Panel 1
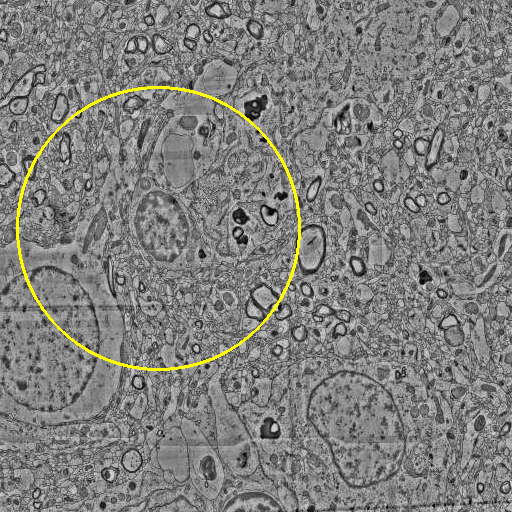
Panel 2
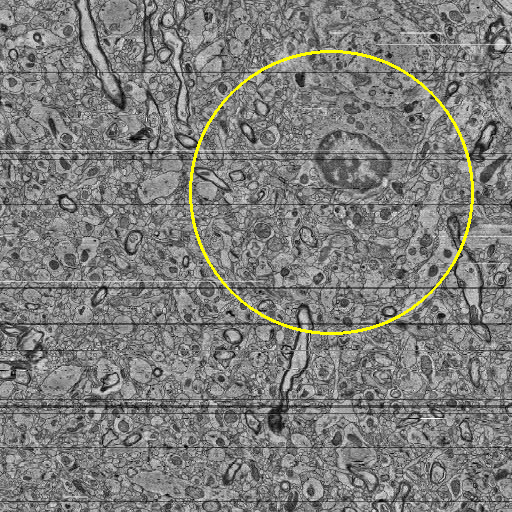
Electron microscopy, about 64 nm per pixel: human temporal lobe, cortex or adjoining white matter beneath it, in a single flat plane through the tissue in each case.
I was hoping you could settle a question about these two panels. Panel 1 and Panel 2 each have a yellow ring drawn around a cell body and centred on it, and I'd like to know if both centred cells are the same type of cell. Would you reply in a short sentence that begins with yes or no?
Yes, both are the same type of cell.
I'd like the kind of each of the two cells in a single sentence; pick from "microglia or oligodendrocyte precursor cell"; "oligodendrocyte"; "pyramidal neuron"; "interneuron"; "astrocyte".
The cell at the ring centre is an oligodendrocyte in both pictures.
